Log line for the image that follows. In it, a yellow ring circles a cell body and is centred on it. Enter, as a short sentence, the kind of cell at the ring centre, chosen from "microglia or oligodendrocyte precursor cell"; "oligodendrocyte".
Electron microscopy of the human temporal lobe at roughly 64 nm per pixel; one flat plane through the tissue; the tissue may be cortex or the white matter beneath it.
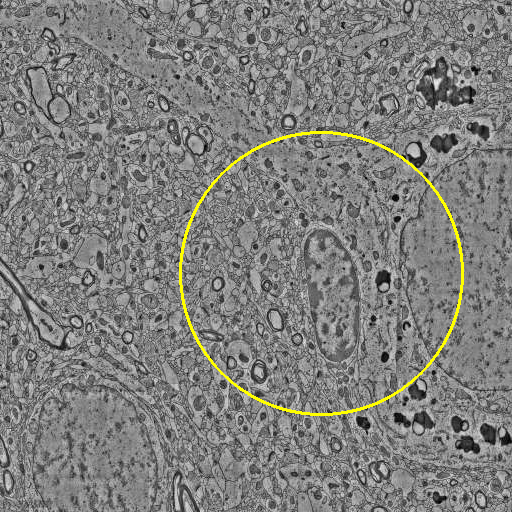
The ring centre is occupied by a microglial cell or oligodendrocyte precursor cell.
